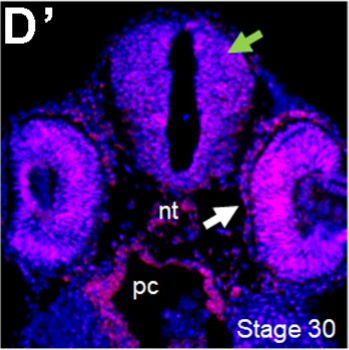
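Transverse section through the head at eye level, with the brain as a dorsal midline tube of densely packed cells around a tall slit-like ventricle, flanked on each side by an eye whose thick, densely nucleated retina forms a cup around a central lens. Ventral to the brain lies the small notochord, and below it the pharyngeal cavity lined by a thin cell layer.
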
